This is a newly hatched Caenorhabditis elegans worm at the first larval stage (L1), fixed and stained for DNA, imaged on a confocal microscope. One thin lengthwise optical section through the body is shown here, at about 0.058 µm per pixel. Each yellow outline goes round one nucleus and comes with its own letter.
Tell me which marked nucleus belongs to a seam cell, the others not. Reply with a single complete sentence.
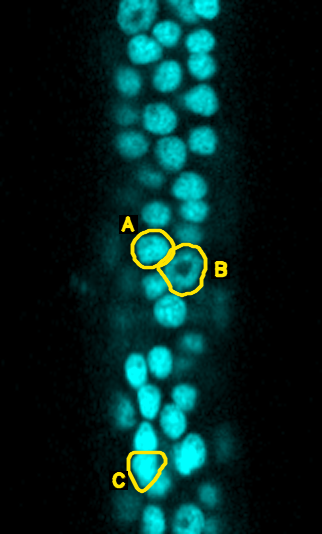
B is from a seam cell.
